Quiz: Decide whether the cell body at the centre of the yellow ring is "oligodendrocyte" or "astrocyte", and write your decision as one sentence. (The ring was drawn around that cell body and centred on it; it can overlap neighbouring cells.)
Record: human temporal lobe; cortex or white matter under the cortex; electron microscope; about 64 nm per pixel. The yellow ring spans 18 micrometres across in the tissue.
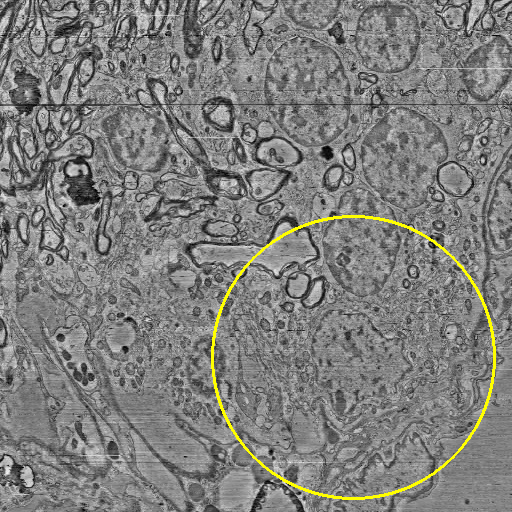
The cell the ring is centred on is an astrocyte.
